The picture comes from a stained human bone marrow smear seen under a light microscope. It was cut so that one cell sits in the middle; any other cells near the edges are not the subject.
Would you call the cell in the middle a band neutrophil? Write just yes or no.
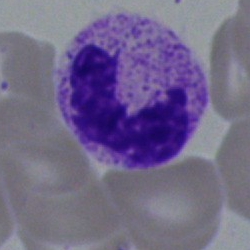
yes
